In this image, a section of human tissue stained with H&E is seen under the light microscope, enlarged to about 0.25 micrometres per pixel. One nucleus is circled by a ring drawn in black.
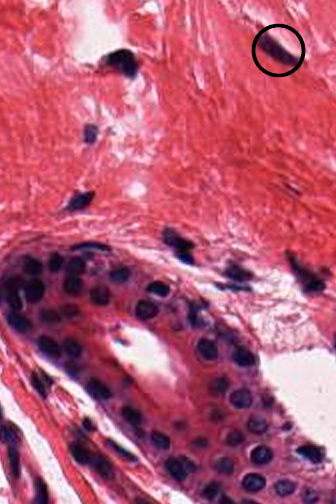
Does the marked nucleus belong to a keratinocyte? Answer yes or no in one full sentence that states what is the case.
No, the marked nucleus is not from a keratinocyte; a supporting cell is its source.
